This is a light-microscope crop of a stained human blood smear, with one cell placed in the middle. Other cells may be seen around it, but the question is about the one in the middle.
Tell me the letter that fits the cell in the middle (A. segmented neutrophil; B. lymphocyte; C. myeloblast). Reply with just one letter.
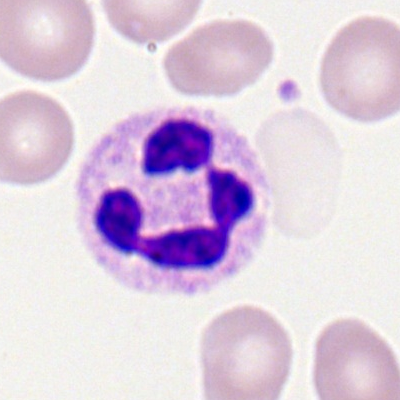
A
